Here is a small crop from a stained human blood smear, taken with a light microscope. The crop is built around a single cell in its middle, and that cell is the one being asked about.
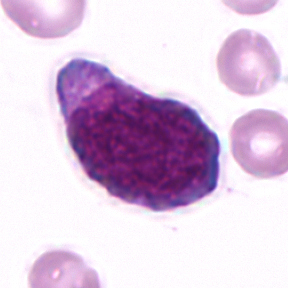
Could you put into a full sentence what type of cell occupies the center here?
The crop centres on a single cell, and that cell is an atypical promyelocyte.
